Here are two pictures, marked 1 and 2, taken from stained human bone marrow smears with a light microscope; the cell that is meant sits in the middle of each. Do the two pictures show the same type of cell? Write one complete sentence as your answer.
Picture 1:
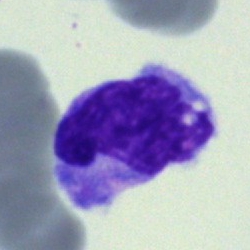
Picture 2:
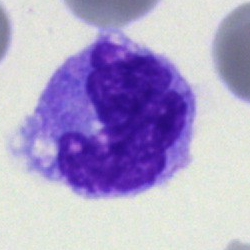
Yes, both cells are monocytes.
